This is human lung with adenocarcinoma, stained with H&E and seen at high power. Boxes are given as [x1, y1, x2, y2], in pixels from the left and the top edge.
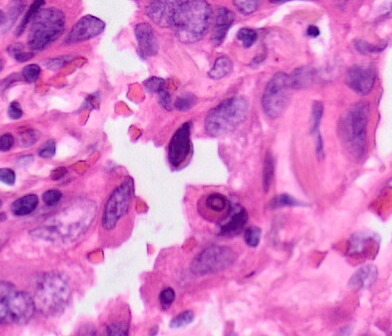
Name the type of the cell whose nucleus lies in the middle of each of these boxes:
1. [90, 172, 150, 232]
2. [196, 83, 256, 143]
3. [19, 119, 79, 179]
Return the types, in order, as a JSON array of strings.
["carcinoma cell", "carcinoma cell", "lymphocyte"]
